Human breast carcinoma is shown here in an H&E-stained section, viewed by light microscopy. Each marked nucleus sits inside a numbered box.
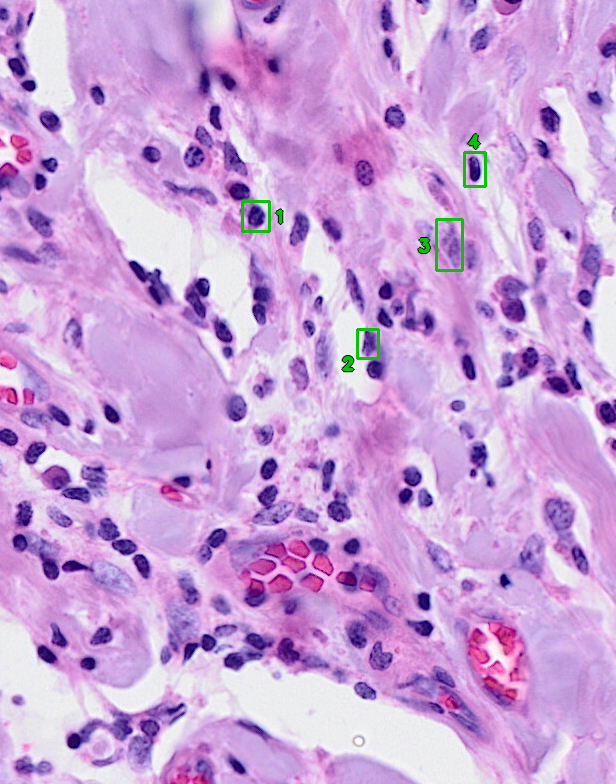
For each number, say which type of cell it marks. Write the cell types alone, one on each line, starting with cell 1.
lymphocyte
lymphocyte
fibroblast
lymphocyte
